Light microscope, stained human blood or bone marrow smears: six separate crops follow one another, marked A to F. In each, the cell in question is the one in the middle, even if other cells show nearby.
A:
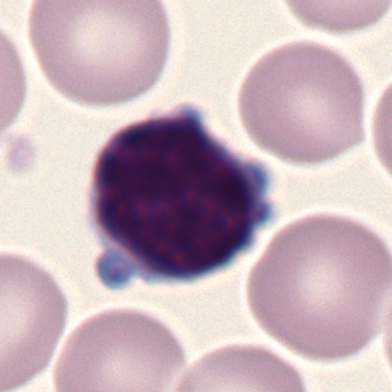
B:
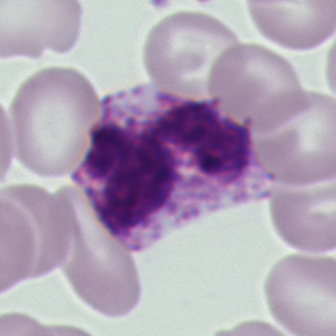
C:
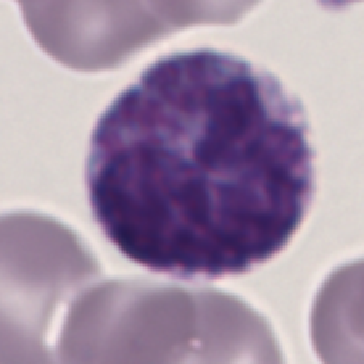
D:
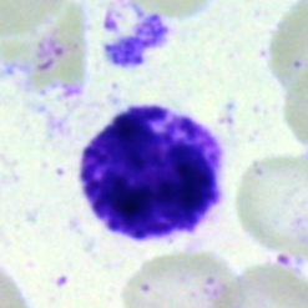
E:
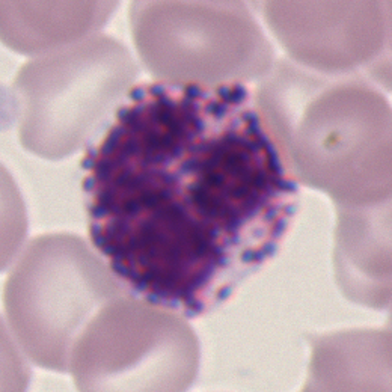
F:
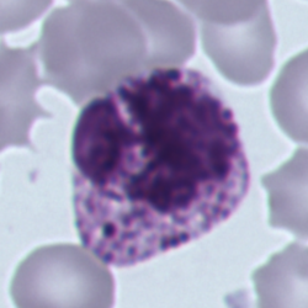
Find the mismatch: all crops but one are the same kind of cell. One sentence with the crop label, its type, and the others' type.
Among the crops, crop A is unique in showing a lymphocyte; the others show basophils.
